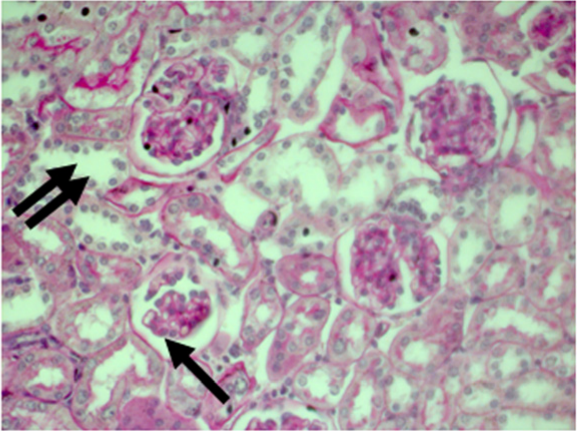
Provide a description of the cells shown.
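This section of renal cortex shows glomeruli and the surrounding tubules, with the glomerular tufts stained a strong magenta. Several glomeruli are small and compact, leaving a wide clear space between the tuft and the capsule that surrounds it. Many tubules have wide, pale, empty lumens lined by a low epithelium with round nuclei. The basement membranes of tubules and capsules stand out as sharp magenta lines. Between the tubules, the interstitium in places holds denser magenta material.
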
